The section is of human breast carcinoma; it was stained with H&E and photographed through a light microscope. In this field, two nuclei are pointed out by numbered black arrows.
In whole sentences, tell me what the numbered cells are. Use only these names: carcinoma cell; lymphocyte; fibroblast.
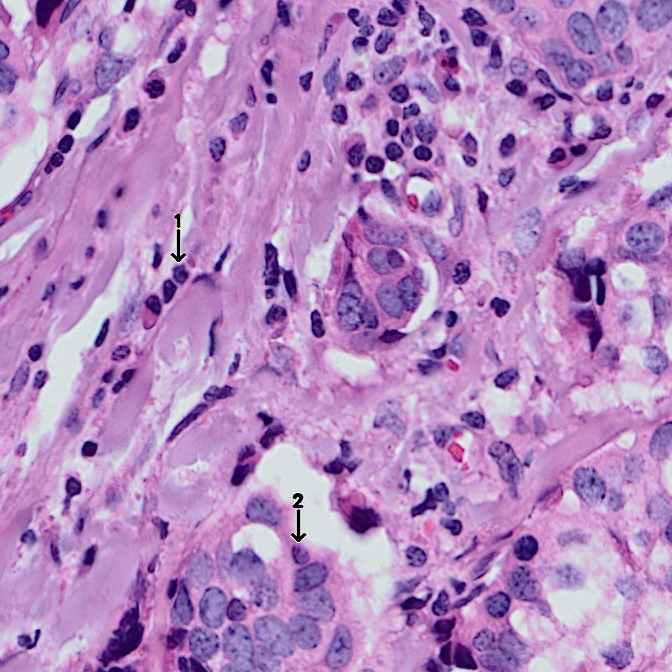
Cell 1 is a lymphocyte. Cell 2 is a carcinoma cell.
